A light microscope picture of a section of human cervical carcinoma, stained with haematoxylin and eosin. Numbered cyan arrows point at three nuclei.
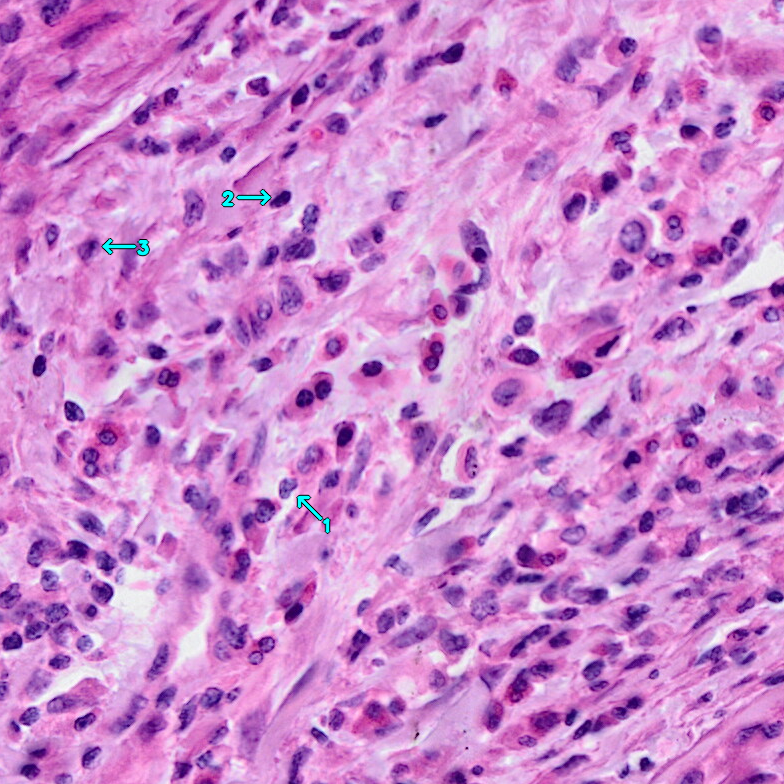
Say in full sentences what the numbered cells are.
Cell 1 is a lymphocyte, cell 2 is a lymphocyte and cell 3 is a macrophage or monocyte.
